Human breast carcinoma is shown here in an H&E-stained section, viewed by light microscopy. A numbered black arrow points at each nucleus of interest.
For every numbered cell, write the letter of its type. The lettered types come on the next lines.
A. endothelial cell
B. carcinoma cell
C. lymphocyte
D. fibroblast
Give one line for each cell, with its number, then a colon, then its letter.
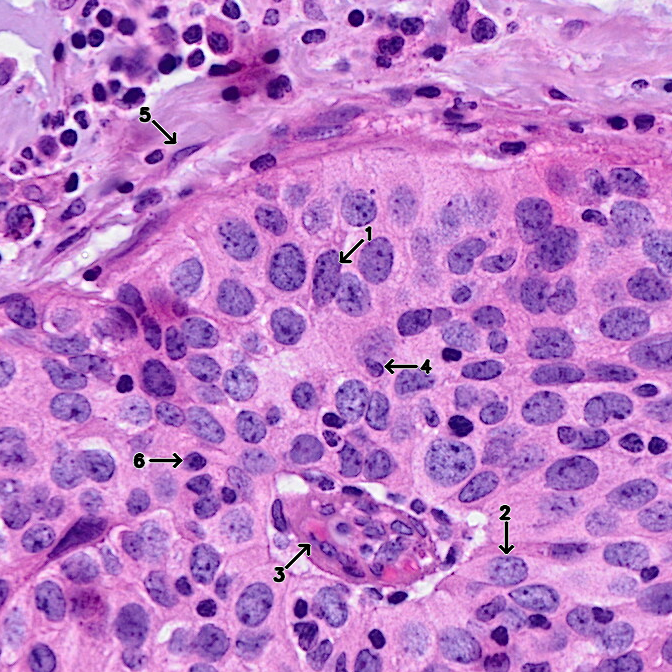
1: B
2: B
3: A
4: B
5: D
6: C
